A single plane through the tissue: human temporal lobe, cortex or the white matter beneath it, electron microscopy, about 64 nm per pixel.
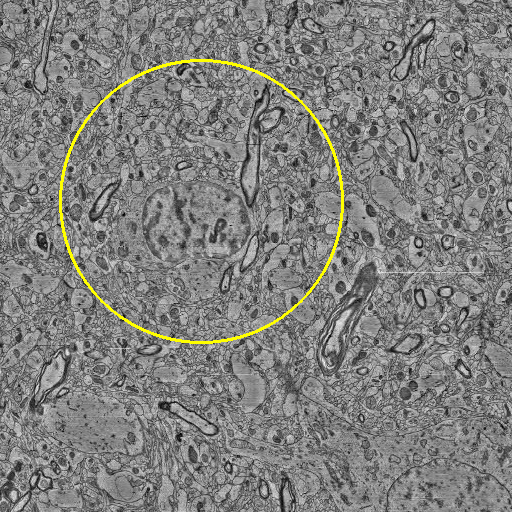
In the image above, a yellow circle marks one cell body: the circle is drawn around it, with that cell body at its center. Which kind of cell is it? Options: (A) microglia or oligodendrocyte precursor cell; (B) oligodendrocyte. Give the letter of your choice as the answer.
B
